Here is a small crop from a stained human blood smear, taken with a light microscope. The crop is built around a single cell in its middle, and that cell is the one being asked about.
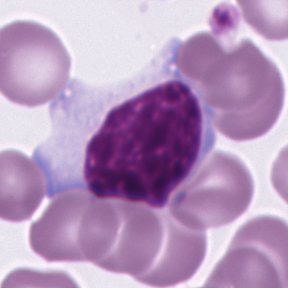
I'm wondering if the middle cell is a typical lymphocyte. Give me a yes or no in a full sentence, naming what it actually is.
Yes, what sits in the centre of the crop is a typical lymphocyte.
